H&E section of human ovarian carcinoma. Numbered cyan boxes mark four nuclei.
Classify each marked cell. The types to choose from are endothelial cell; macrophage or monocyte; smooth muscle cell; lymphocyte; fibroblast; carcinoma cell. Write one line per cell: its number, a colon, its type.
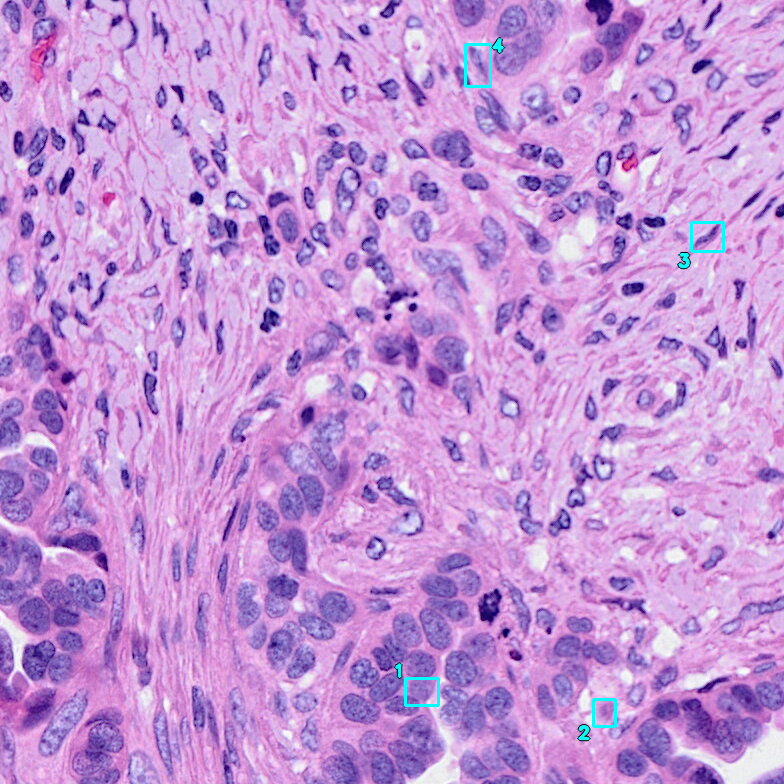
1: carcinoma cell
2: fibroblast
3: fibroblast
4: fibroblast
